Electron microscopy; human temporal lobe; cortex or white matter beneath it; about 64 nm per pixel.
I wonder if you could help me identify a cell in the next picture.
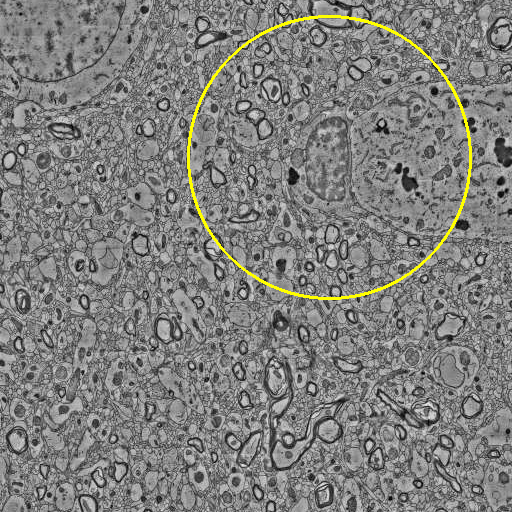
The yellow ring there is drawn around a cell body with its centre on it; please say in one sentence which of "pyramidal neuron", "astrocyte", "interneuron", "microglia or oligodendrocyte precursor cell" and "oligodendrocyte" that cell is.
The yellow ring is centred on an oligodendrocyte.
